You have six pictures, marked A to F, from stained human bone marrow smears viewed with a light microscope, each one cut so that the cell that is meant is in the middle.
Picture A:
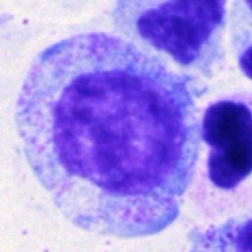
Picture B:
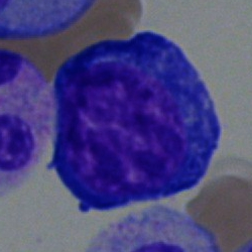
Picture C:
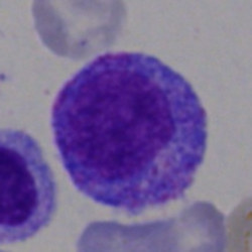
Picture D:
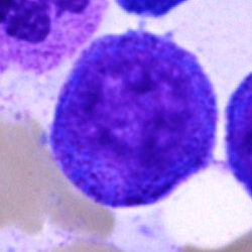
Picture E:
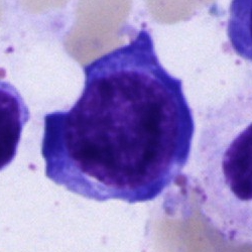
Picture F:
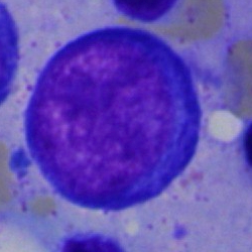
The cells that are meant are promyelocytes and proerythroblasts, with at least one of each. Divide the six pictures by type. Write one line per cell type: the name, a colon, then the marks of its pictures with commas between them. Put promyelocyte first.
promyelocyte: A, C, D
proerythroblast: B, E, F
